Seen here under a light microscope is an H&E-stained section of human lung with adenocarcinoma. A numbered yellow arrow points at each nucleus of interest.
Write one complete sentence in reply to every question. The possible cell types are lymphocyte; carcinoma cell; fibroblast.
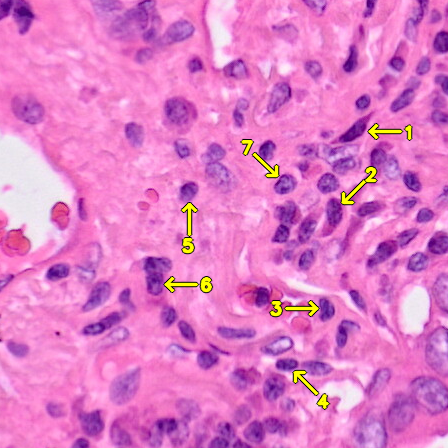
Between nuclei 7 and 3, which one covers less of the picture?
With nucleus 7 about 1.5 times its size, nucleus 3 is the smaller of the two.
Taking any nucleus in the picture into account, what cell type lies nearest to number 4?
It is a fibroblast whose nucleus is nearest to number 4.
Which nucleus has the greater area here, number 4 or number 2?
Of the two, number 2 is bigger and takes up about 1.5 times the area of number 4.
